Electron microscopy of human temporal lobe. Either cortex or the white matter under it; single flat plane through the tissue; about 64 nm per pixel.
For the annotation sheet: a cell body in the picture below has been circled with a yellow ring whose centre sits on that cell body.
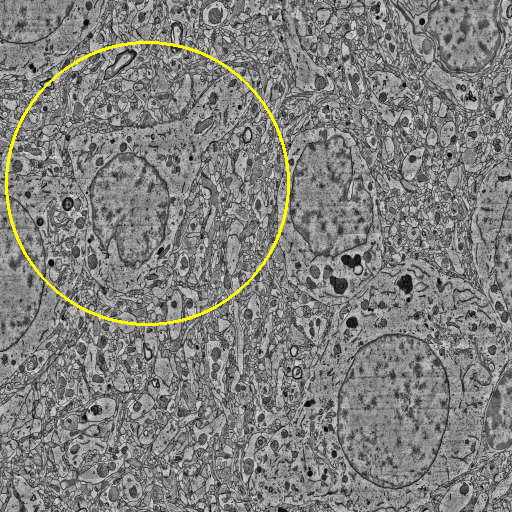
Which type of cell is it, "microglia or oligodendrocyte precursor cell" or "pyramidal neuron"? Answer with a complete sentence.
The circled cell is a pyramidal neuron.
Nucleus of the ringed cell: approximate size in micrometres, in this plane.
In this plane the nucleus measures roughly 7 by 5 micrometres.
